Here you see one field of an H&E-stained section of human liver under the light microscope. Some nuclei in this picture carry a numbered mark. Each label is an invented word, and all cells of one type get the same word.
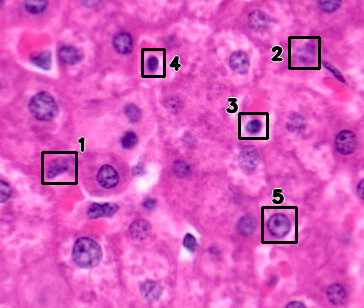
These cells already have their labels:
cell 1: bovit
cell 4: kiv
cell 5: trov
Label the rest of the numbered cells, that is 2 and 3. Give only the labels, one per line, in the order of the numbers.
trov
kiv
